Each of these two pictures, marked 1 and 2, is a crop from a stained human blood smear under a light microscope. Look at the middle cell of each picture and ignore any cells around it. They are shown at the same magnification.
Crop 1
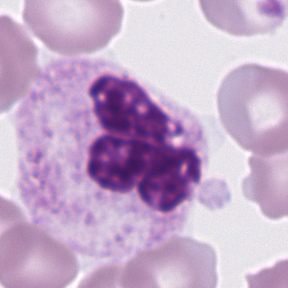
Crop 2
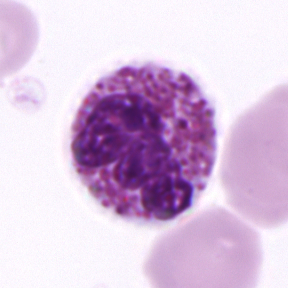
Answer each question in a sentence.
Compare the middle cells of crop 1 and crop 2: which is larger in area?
It is the cell in crop 1, about 1.5 times as large in area as the cell in crop 2.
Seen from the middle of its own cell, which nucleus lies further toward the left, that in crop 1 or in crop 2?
The nucleus in crop 2 lies further toward the left of its cell.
